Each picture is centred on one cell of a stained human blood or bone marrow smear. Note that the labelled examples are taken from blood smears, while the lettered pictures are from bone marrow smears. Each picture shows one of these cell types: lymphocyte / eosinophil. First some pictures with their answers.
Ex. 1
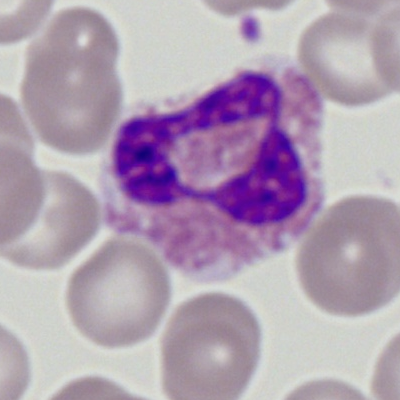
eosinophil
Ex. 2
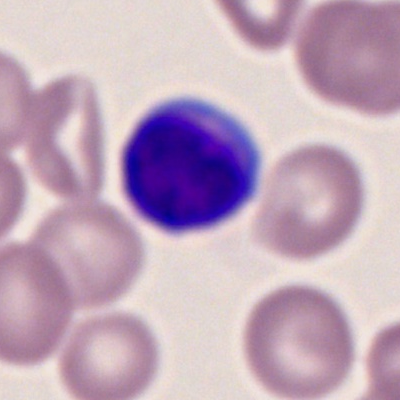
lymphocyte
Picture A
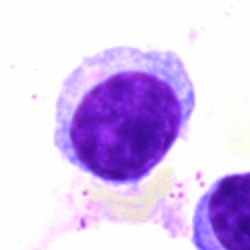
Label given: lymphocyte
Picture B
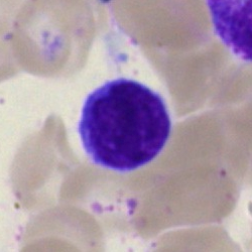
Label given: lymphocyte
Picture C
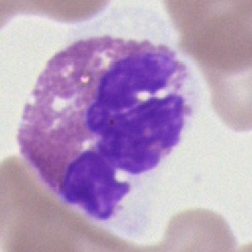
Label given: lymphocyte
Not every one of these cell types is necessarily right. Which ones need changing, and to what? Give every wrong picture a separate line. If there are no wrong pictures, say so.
Wrong: C (lymphocyte); correct: eosinophil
